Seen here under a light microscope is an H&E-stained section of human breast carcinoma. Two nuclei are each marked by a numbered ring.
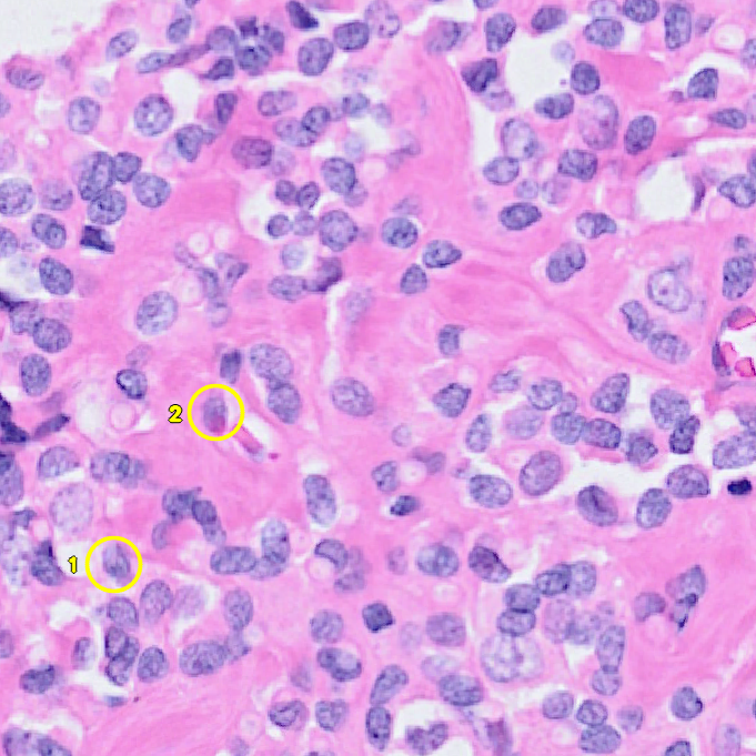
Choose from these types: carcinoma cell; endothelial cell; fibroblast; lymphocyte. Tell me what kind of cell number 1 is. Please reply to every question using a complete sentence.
The marked cell bearing number 1 is a carcinoma cell.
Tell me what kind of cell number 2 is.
The cell that carries the label 2 is an endothelial cell.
